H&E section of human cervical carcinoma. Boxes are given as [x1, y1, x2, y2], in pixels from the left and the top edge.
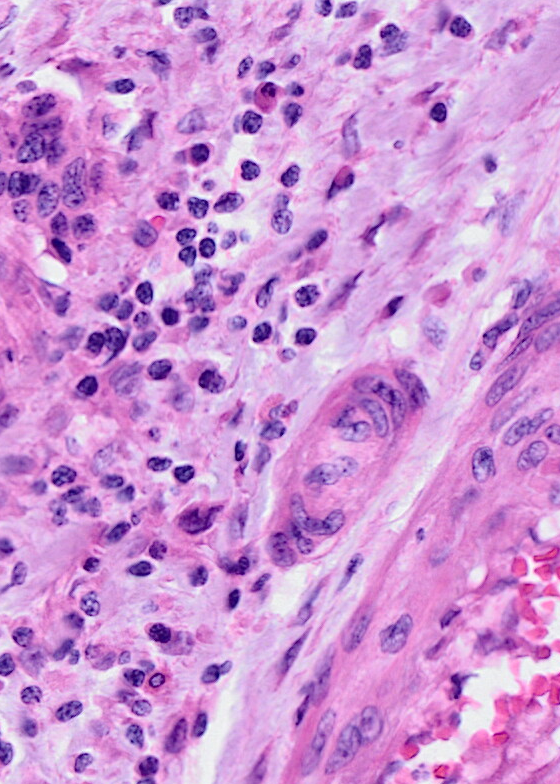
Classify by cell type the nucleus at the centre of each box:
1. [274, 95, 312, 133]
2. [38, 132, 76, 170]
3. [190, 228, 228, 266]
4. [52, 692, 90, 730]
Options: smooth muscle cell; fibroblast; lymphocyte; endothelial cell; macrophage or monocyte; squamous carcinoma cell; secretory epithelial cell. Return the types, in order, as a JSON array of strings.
["lymphocyte", "squamous carcinoma cell", "lymphocyte", "lymphocyte"]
